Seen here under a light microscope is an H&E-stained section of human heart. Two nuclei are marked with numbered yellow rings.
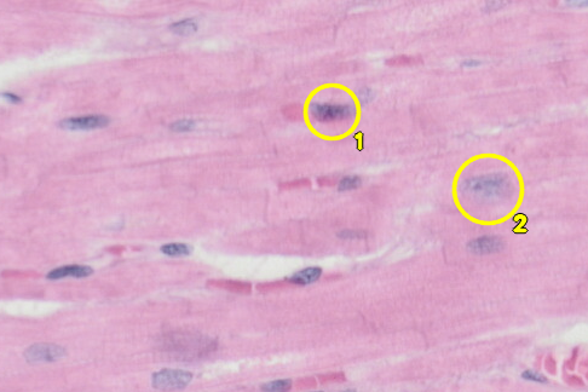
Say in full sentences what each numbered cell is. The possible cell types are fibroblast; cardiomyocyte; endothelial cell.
Cell 1 is an endothelial cell. Cell 2 is a cardiomyocyte.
